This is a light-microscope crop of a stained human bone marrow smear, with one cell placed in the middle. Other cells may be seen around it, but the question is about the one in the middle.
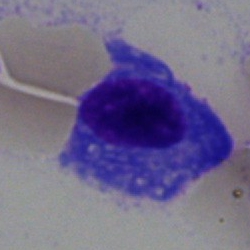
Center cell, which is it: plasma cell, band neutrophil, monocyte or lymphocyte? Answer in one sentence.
The cell the crop is centered on is a plasma cell.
